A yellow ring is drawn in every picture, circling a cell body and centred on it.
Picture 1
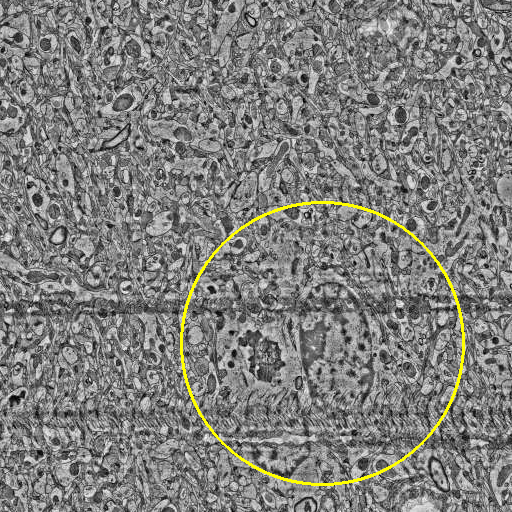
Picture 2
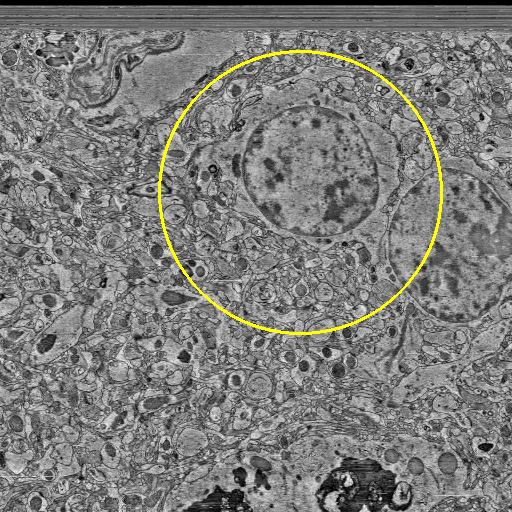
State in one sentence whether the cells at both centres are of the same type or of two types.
The cells at the two ring centres, one per picture, are of the same type.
